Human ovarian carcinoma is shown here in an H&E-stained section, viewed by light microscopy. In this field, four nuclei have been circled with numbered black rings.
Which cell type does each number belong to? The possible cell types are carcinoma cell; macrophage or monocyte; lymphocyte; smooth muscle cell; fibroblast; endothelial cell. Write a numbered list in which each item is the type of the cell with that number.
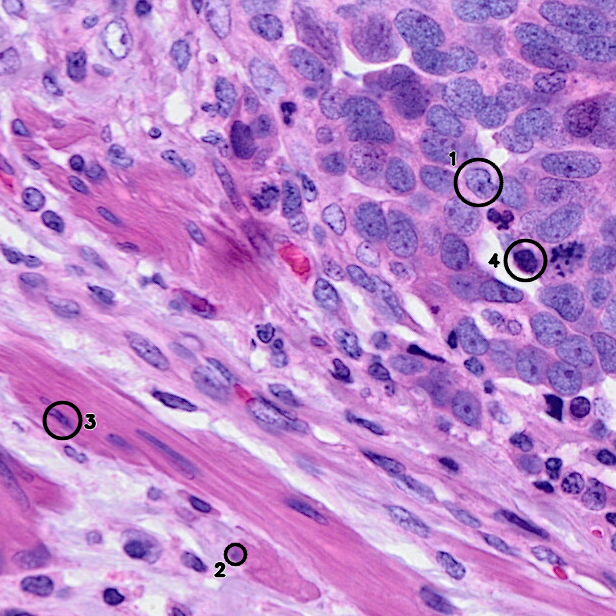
1. macrophage or monocyte
2. smooth muscle cell
3. smooth muscle cell
4. carcinoma cell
